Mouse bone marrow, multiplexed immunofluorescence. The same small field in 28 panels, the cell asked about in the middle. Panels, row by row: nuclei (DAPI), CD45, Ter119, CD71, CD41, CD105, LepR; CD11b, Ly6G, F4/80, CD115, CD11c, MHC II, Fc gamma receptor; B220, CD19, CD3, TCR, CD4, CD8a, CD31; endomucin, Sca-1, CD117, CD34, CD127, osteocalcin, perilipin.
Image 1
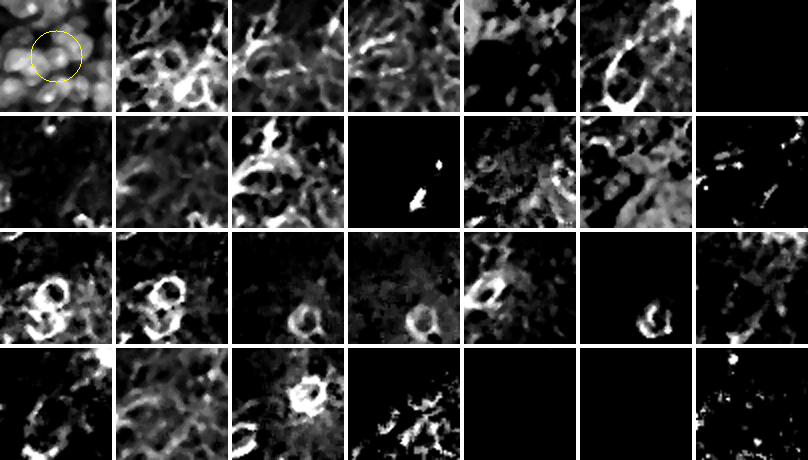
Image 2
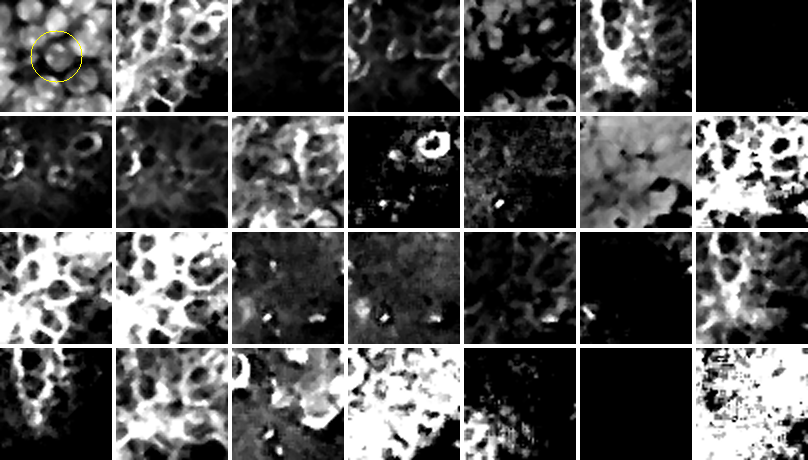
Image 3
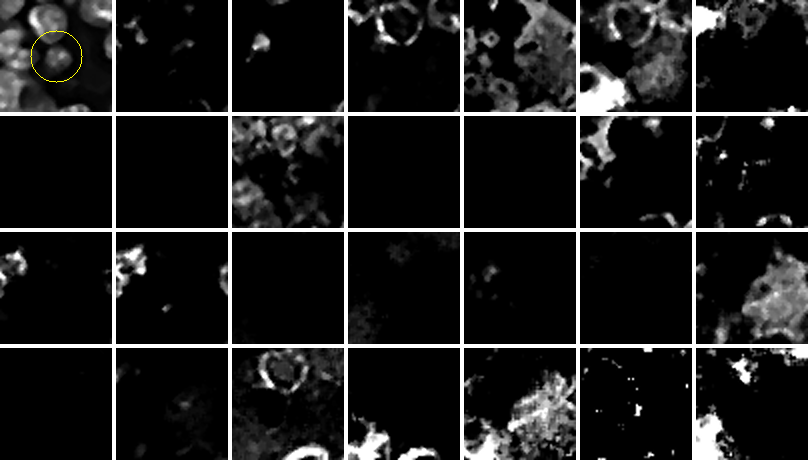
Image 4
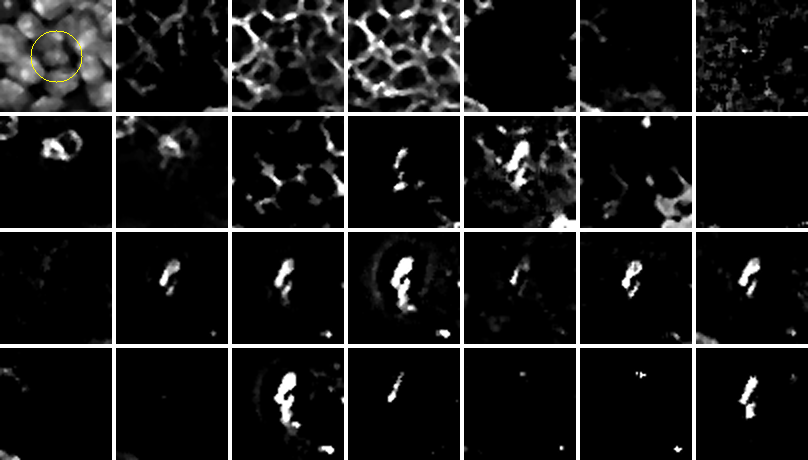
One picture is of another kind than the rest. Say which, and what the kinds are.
Picture 3 shows a common lymphoid progenitor; the rest show erythroid progenitors (CFU-E).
